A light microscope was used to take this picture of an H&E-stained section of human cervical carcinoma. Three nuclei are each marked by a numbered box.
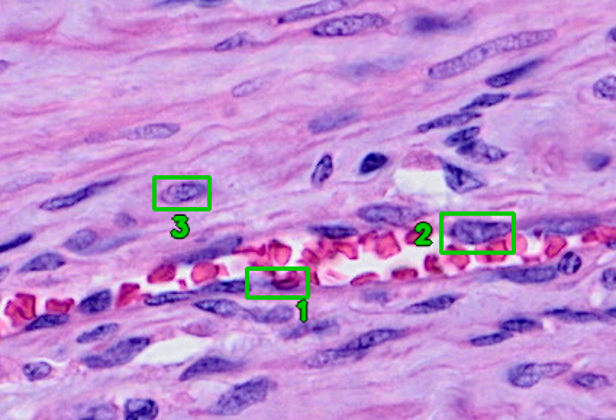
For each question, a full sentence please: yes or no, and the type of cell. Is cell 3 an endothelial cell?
No, cell 3 is to be read as a smooth muscle cell, not an endothelial cell.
